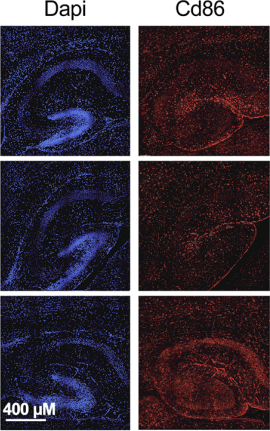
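Low-magnification sections of hippocampal tissue are shown as three rows of paired images, a blue nuclear stain on the left and a red stain on the right. In the blue images, densely packed nuclei form a curved band and a nested V-shaped band, giving the characteristic layered outline of the hippocampus. Outside these bands, nuclei are scattered more sparsely. The red images show fine punctate staining distributed across the tissue. In the bottom row, the red staining is brighter and more diffuse, and outlines the curved cell layers more strongly than in the upper rows.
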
